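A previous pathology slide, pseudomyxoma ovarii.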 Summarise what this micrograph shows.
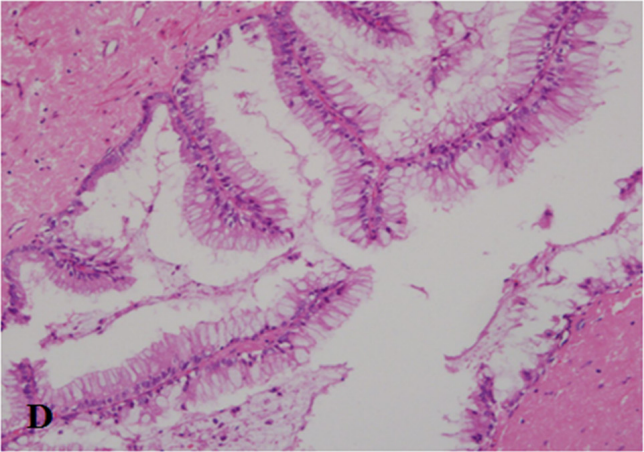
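This shows bland mucinous tumor epithelium folded into papillary fronds. The lining is a single row of tall columnar cells whose cytoplasm is pale and clear with mucin, while small dark nuclei sit in a row at the base. The fronds project into a lumen filled with faint, wispy mucin, and pink fibrous stroma lies at the edges. The nuclei are small and regular with little crowding, which is why the epithelium looks deceptively bland despite being neoplastic.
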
